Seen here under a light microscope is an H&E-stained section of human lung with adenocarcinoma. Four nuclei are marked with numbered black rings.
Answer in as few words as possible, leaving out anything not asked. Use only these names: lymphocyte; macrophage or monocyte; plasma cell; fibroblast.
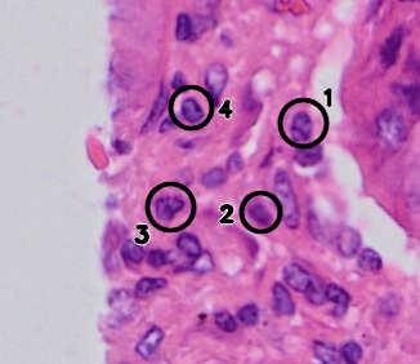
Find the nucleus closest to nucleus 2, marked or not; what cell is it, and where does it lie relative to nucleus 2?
a macrophage or monocyte above and to the right of nucleus 2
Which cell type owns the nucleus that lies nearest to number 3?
lymphocyte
